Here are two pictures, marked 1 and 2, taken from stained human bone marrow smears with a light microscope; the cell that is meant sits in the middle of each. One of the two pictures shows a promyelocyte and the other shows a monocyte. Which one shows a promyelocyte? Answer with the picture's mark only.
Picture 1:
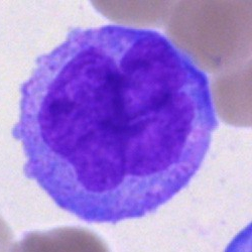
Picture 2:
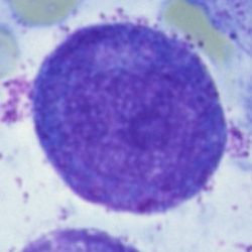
2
